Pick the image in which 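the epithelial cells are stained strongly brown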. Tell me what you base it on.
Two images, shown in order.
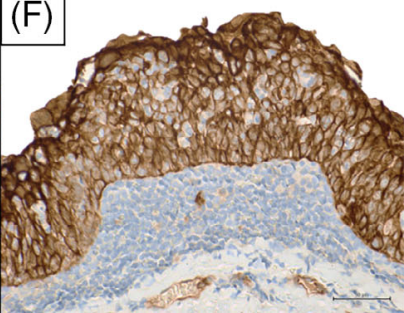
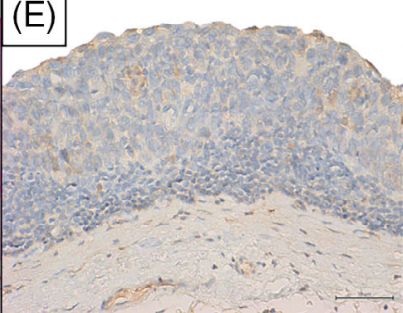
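First image: the thick layered epithelium is deep brown throughout, outlining each cell. Second image: the layered epithelium is pale blue-grey with no strong brown. That points to this answer: the first image.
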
